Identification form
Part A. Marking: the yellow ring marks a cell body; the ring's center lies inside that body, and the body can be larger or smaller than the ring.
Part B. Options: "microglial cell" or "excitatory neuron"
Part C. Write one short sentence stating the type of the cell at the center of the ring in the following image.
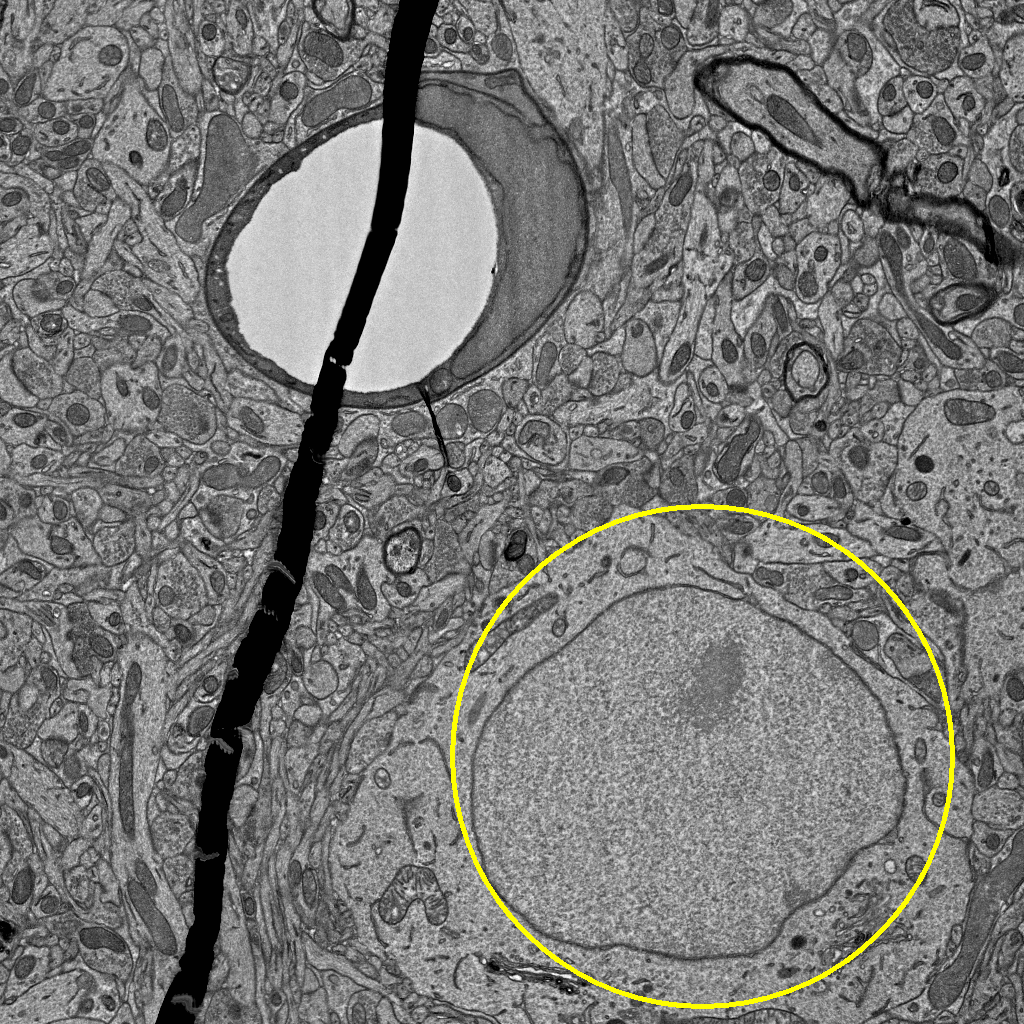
The center of the ring holds an excitatory neuron.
